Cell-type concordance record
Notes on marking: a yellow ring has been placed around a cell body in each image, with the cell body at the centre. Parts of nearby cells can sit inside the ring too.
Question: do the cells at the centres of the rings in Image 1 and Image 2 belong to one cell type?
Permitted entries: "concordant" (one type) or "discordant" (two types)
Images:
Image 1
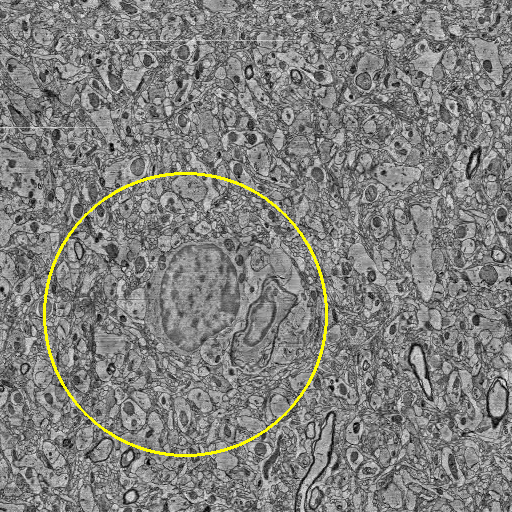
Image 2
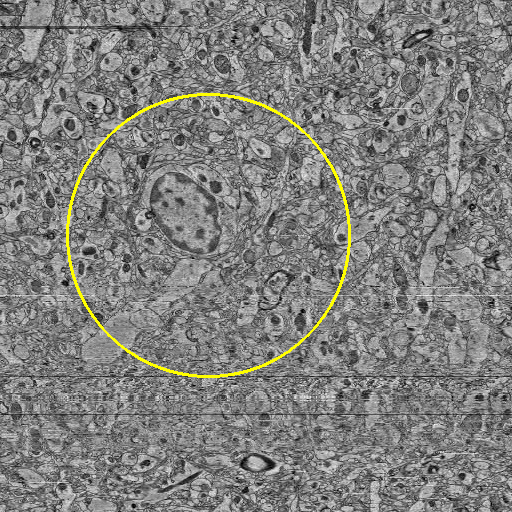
discordant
